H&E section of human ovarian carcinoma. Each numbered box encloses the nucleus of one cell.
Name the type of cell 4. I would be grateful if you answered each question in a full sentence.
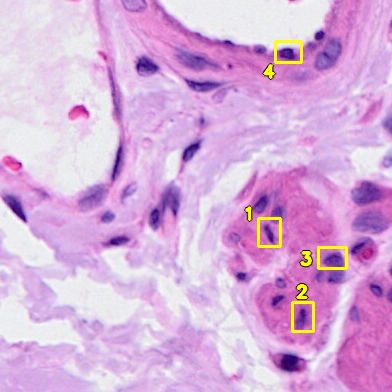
Nucleus 4 in this section belongs to an endothelial cell.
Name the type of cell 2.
The numeral 2 marks a smooth muscle cell in this section.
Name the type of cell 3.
The numbered cell 3 in this field is a smooth muscle cell.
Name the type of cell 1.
The cell referred to as 1 is a smooth muscle cell.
